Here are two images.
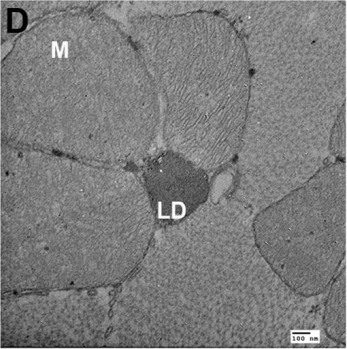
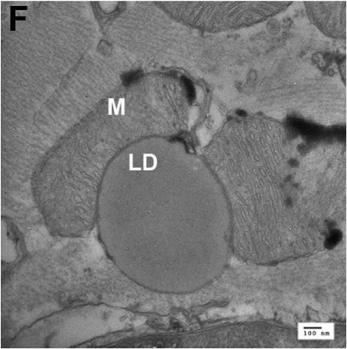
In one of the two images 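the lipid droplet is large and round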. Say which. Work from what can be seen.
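The second image. Second image: a large, round, evenly grey droplet takes up much of the centre, wider than the neighbouring mitochondria are thick. First image: the droplet is small, dark and irregular, squeezed between the mitochondria.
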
